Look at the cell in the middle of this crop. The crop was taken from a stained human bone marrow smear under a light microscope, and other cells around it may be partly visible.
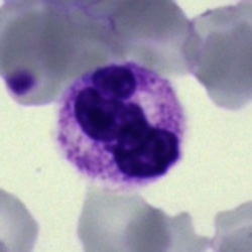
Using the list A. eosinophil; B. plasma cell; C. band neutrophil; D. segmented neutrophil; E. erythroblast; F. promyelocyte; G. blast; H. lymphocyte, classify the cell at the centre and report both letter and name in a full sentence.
The one cell at the centre is a segmented neutrophil, as correctly stated in option D.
